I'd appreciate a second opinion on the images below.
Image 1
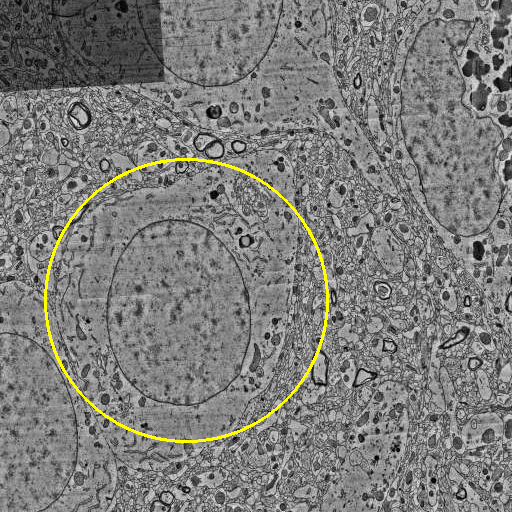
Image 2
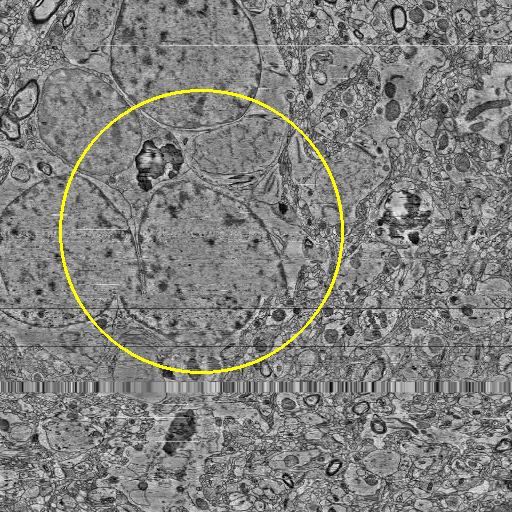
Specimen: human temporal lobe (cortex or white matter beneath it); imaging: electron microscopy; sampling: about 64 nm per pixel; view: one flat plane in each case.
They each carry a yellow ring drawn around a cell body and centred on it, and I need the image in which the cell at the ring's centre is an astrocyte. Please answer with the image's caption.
Image 2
